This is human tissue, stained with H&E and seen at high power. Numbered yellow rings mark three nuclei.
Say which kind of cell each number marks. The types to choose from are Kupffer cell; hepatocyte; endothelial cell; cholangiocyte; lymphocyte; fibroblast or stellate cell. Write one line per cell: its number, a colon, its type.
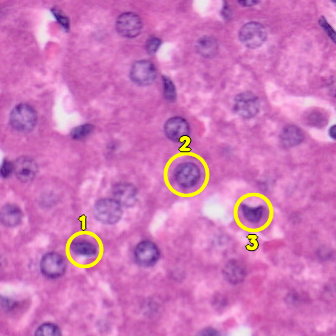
1: endothelial cell
2: hepatocyte
3: Kupffer cell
